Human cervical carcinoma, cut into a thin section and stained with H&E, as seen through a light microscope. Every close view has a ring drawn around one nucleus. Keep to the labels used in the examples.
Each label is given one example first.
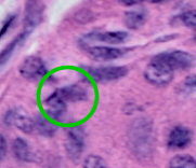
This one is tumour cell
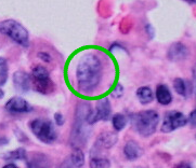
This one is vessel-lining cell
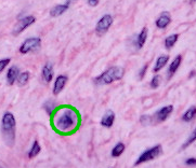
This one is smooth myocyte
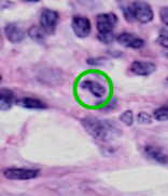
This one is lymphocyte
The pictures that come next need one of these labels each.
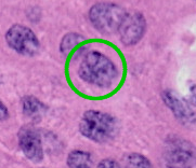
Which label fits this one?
tumour cell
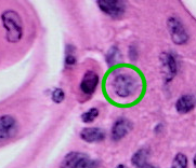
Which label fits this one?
tumour cell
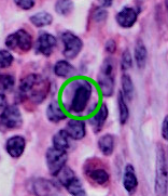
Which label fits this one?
lymphocyte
